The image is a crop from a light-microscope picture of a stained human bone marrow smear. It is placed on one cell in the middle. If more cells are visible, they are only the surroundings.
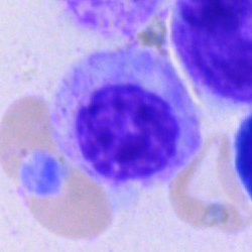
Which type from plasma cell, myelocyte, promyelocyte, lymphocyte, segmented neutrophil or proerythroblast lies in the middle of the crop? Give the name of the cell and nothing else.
myelocyte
